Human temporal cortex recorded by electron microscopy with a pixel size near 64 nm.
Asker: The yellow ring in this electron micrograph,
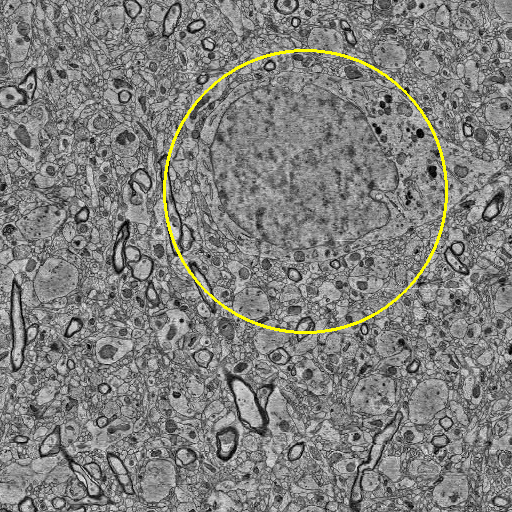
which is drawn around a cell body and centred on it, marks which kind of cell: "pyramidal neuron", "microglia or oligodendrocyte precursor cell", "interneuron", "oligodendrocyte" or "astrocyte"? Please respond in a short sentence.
The marked cell is an interneuron.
